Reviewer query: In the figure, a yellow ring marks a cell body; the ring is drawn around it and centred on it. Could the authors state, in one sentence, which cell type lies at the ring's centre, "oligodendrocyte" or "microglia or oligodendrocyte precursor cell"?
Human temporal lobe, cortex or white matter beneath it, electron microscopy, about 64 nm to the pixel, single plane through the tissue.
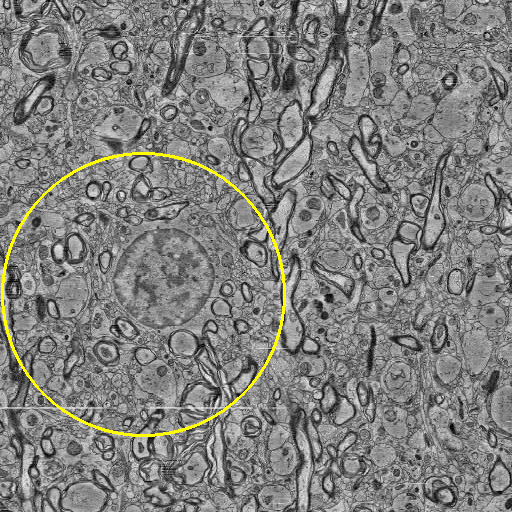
The ring is centred on an oligodendrocyte.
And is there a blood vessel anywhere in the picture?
No, none is visible.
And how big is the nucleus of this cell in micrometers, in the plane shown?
In this plane, approximately 7 micrometres across.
